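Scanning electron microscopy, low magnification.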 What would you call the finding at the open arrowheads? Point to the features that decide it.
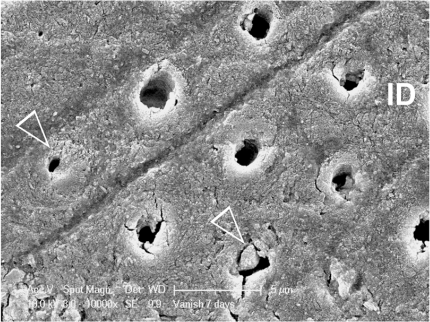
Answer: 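The arrowheads point at tubule openings. The marked openings hold some material but keep a dark gap.
Conclusion: partially-occluded tubules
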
